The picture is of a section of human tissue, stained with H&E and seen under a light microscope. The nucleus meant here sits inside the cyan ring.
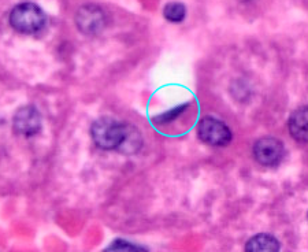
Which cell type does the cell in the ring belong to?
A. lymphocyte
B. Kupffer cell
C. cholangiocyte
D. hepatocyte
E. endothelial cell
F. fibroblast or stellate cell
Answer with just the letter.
E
